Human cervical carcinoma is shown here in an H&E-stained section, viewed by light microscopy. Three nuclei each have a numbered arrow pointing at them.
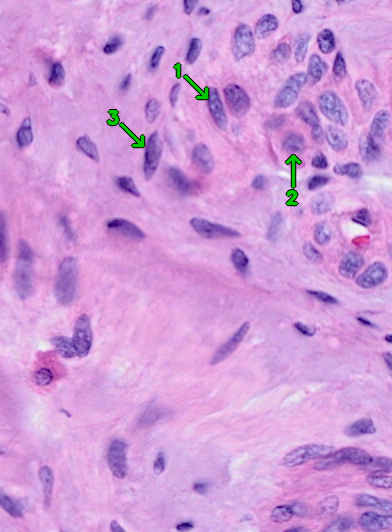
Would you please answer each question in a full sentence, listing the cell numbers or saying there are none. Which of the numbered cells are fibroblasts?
The numbered cells include exactly one that is a fibroblast, which is cell 3.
